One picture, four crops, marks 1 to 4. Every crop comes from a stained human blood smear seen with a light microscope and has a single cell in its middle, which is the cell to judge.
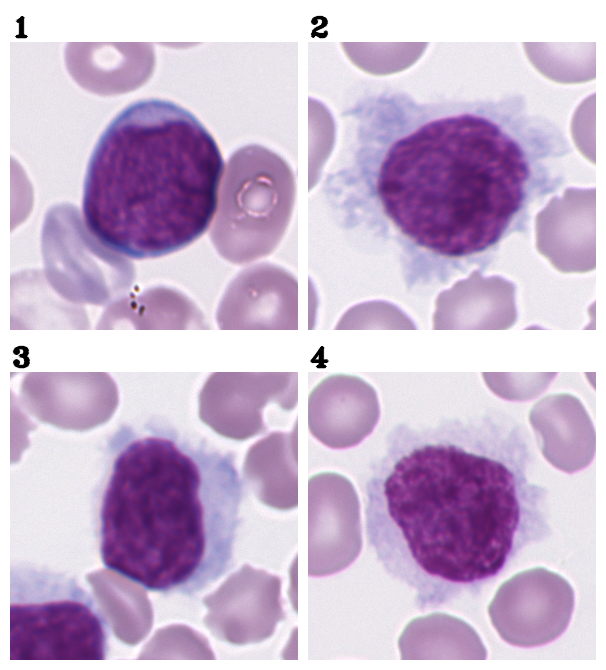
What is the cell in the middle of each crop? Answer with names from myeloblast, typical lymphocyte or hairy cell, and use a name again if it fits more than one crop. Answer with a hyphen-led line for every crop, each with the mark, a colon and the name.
- 1: myeloblast
- 2: hairy cell
- 3: hairy cell
- 4: hairy cell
